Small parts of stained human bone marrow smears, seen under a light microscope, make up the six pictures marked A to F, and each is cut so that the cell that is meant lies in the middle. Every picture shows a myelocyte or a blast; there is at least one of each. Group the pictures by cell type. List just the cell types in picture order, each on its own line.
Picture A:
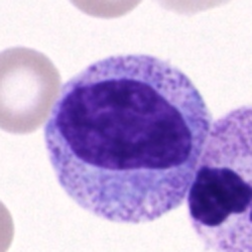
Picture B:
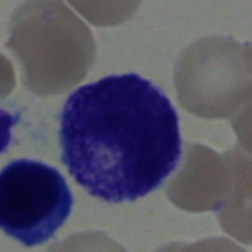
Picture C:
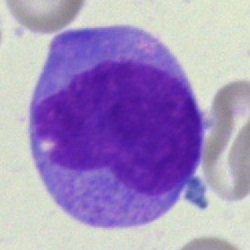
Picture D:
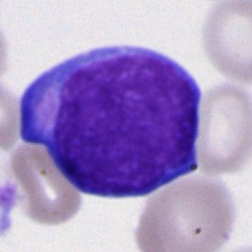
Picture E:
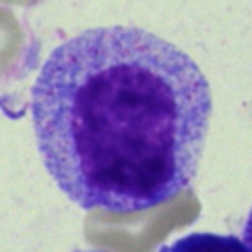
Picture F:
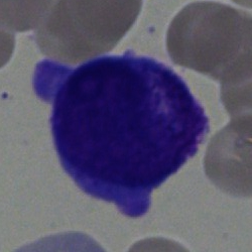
myelocyte
myelocyte
blast
blast
myelocyte
blast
